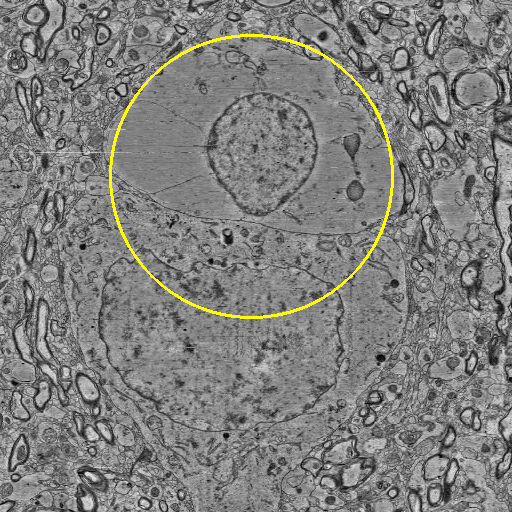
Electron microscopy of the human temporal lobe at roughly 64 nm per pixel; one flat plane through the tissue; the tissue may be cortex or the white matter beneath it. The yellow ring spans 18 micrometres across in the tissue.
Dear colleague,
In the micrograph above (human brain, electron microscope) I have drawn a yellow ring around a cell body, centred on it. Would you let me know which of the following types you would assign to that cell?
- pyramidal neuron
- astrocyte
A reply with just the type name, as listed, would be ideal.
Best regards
astrocyte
